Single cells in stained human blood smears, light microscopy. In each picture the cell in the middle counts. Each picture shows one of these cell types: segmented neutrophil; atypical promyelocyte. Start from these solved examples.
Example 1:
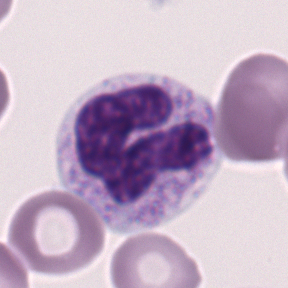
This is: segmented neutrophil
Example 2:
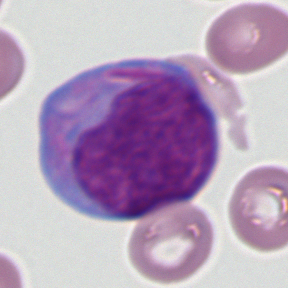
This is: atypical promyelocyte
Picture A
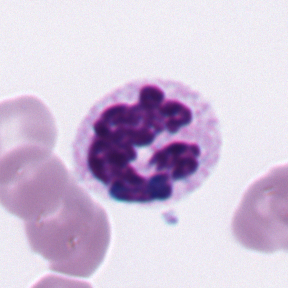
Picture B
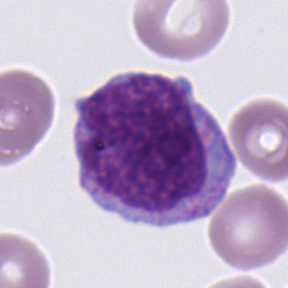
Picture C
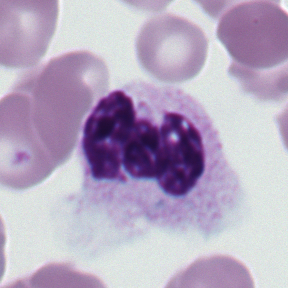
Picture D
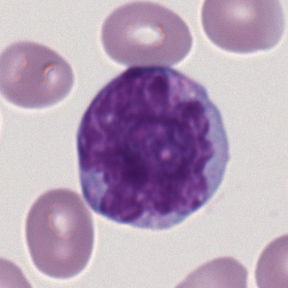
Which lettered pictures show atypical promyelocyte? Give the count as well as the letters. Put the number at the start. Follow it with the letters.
2: B, D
